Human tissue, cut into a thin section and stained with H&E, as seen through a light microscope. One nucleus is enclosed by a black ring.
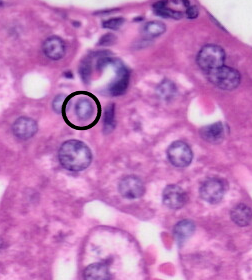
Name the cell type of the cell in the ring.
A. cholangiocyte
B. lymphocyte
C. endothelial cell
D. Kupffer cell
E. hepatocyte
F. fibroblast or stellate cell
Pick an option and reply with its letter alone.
A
